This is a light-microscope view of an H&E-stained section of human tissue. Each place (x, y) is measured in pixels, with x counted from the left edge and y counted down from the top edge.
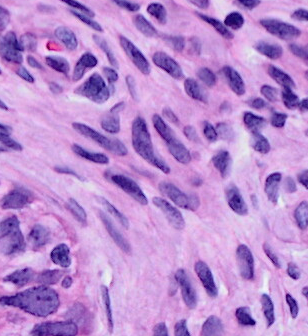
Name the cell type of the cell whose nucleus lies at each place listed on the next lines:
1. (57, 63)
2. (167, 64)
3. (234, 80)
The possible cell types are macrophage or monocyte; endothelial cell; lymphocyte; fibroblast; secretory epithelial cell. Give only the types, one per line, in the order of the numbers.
endothelial cell
fibroblast
fibroblast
